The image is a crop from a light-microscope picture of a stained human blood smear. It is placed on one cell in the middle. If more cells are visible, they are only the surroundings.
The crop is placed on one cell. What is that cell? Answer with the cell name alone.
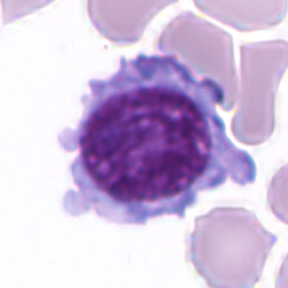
plasma cell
